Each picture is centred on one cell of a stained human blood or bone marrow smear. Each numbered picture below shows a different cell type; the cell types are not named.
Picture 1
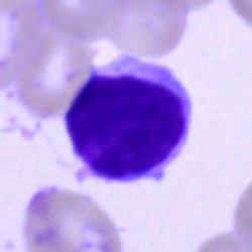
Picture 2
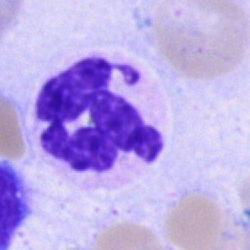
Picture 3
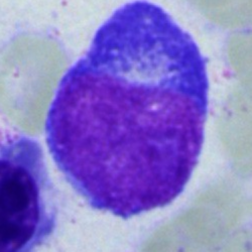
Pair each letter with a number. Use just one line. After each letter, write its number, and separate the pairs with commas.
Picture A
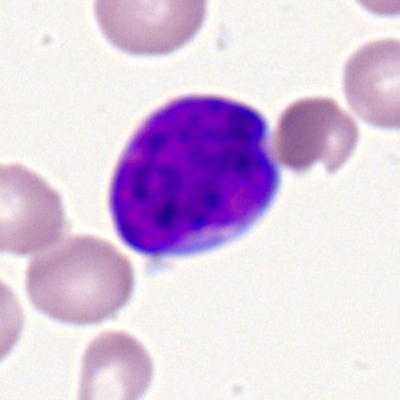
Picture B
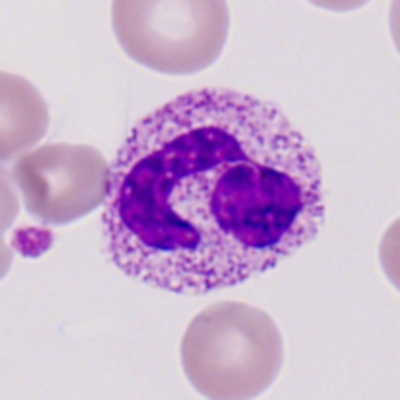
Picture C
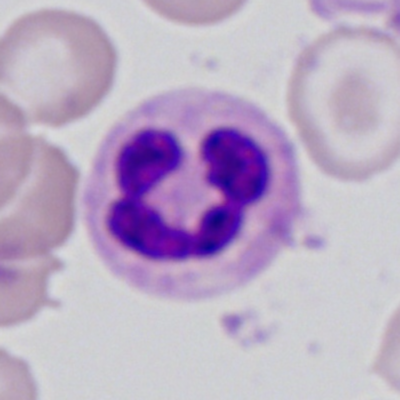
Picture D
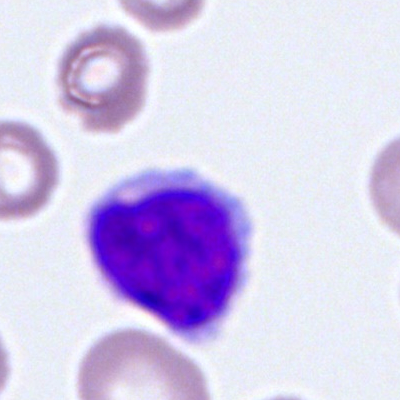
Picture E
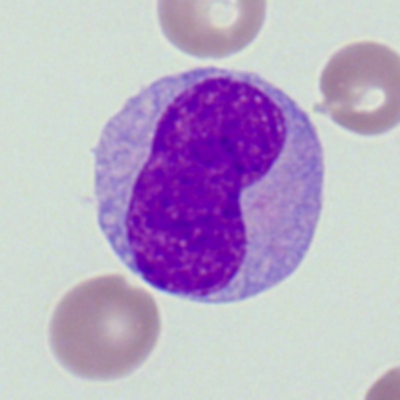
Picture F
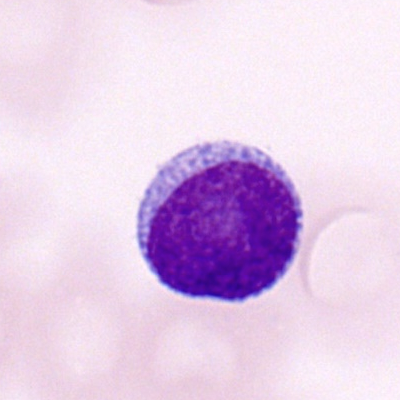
A 3, B 2, C 2, D 1, E 3, F 1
